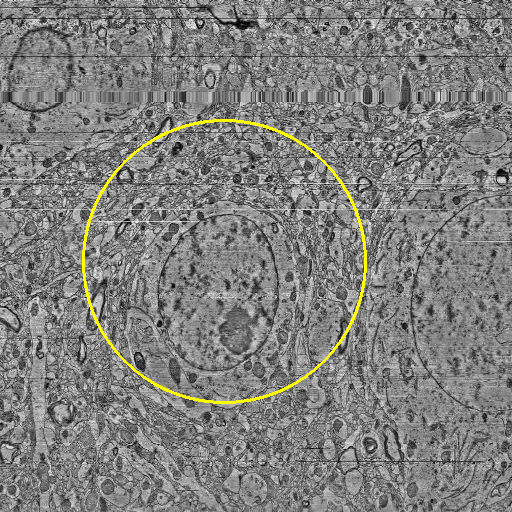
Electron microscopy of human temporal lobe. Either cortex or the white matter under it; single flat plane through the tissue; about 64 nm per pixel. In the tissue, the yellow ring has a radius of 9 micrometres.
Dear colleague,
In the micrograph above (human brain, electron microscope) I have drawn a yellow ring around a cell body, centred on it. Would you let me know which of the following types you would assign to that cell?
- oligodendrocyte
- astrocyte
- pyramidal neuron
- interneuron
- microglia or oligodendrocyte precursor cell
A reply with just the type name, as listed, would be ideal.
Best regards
pyramidal neuron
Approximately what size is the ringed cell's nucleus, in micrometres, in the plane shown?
The nucleus of the ringed cell is approximately 10 by 8 micrometres in this plane.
